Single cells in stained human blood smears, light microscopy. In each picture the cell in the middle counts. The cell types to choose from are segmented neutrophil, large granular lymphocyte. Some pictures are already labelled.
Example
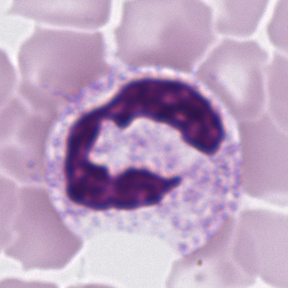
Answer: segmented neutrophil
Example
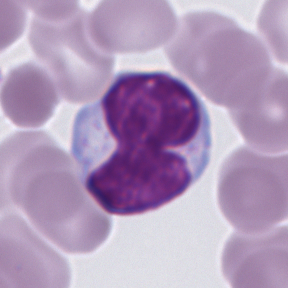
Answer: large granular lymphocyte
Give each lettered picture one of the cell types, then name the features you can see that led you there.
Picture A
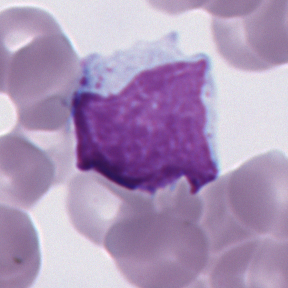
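large granular lymphocyte. Evidence: The nucleus fills most of the cell, with the cytoplasm lying mainly as a band along its upper side.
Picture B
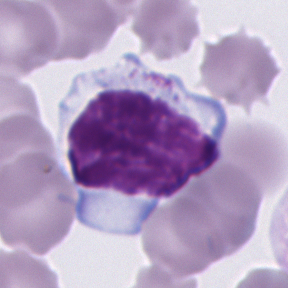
large granular lymphocyte. Evidence: The nucleus is a single unlobed mass that fills most of the cell.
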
